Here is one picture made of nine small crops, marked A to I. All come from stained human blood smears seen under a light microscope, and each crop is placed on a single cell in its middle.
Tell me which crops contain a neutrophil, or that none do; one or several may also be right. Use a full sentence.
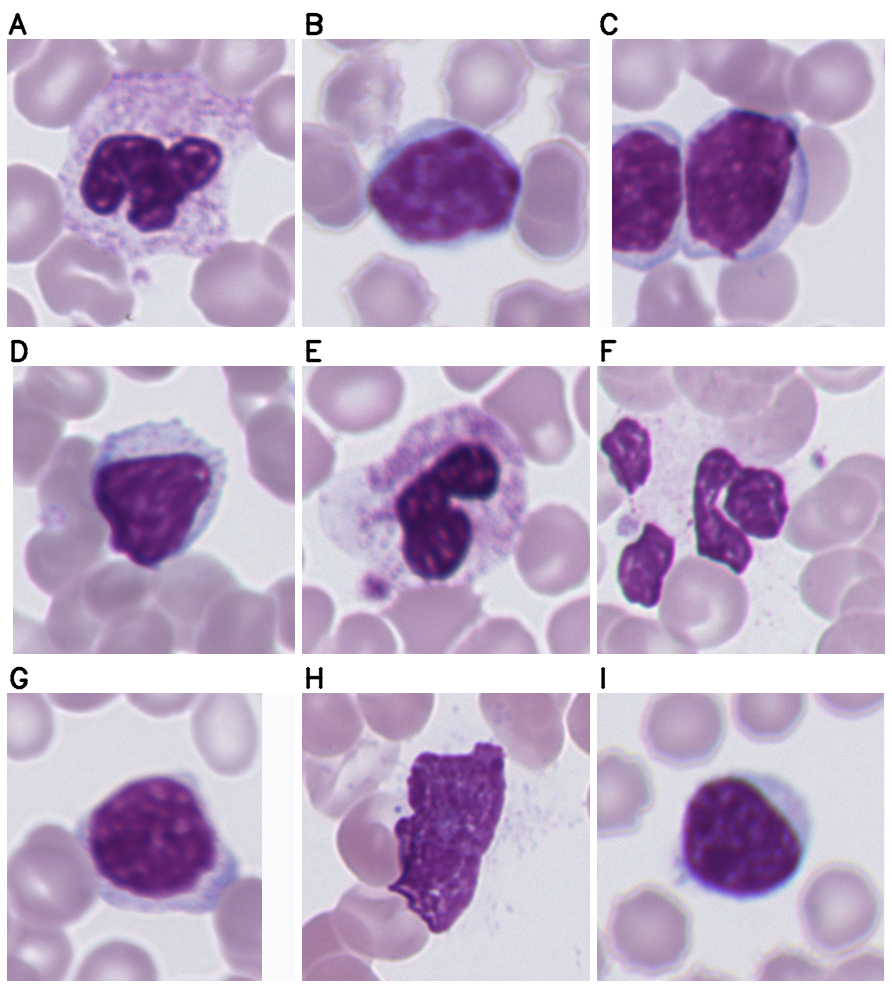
Crops A, E and F are recognised as showing neutrophils.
